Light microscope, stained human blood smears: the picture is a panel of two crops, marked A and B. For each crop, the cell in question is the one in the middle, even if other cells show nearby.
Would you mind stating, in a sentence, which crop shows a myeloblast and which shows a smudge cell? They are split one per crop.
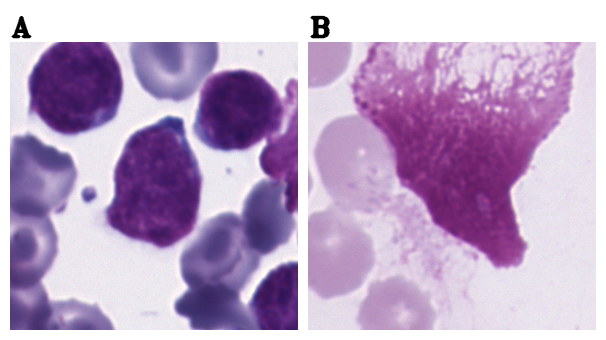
Respectively, crops A and B show a myeloblast and a smudge cell.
